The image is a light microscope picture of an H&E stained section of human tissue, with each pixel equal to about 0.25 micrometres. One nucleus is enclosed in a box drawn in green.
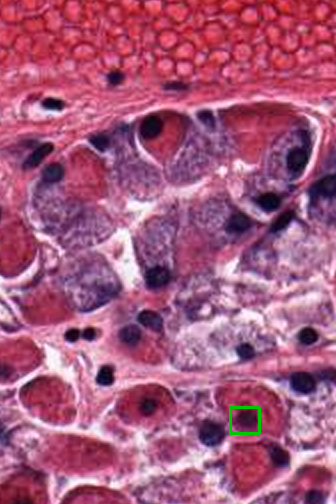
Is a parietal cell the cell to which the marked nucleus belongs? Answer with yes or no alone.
yes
